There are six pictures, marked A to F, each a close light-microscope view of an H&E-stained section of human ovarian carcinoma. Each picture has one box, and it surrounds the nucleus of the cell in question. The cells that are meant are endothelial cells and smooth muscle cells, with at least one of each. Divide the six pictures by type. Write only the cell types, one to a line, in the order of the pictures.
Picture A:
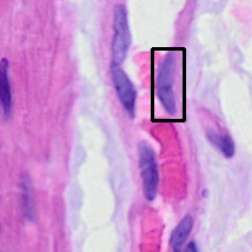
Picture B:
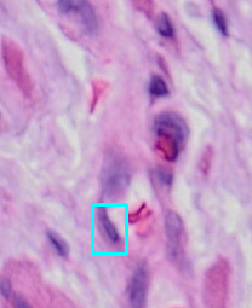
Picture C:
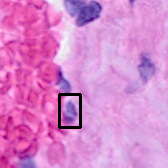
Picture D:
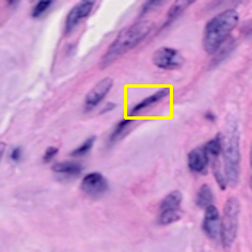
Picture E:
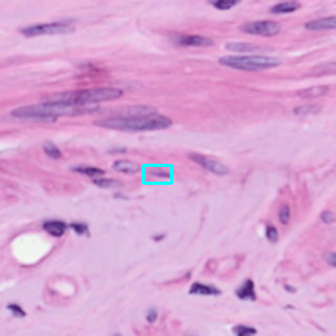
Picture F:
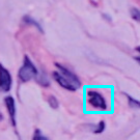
endothelial cell
endothelial cell
endothelial cell
smooth muscle cell
smooth muscle cell
endothelial cell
